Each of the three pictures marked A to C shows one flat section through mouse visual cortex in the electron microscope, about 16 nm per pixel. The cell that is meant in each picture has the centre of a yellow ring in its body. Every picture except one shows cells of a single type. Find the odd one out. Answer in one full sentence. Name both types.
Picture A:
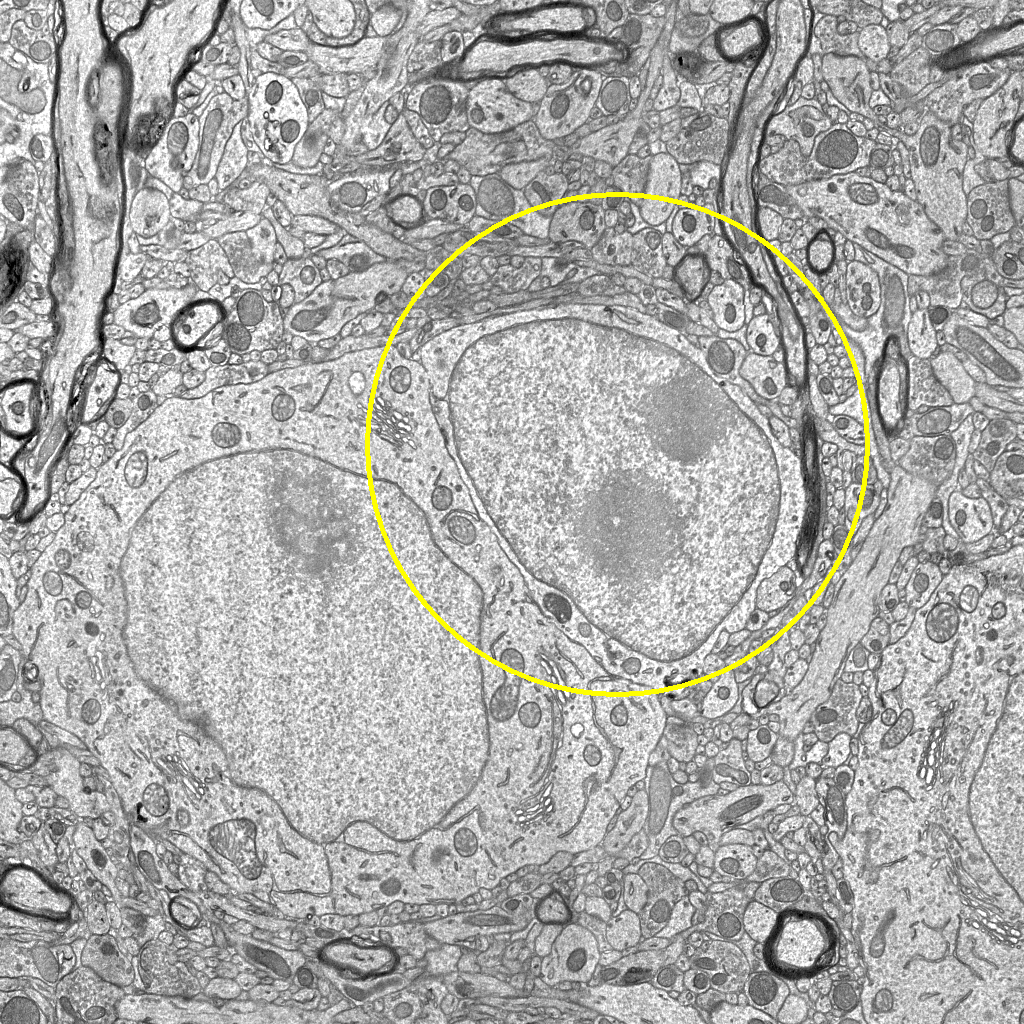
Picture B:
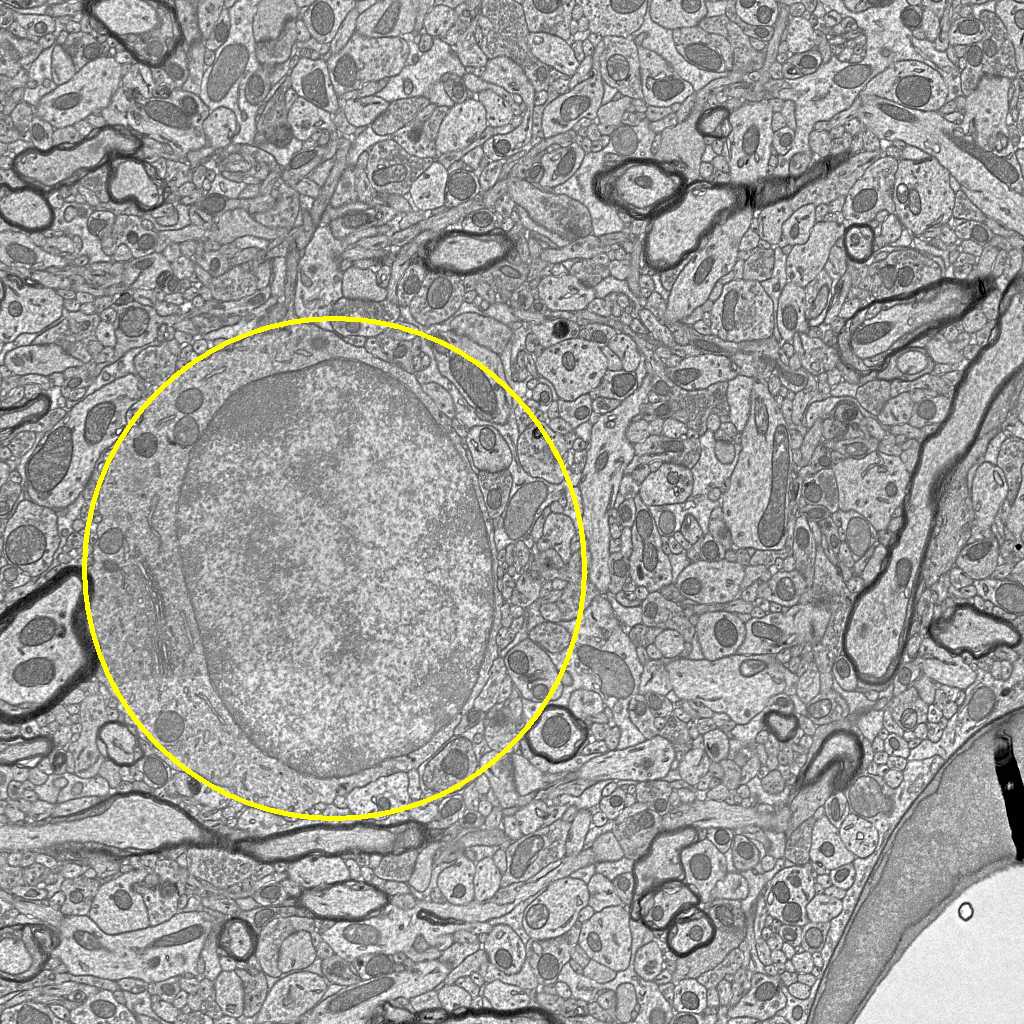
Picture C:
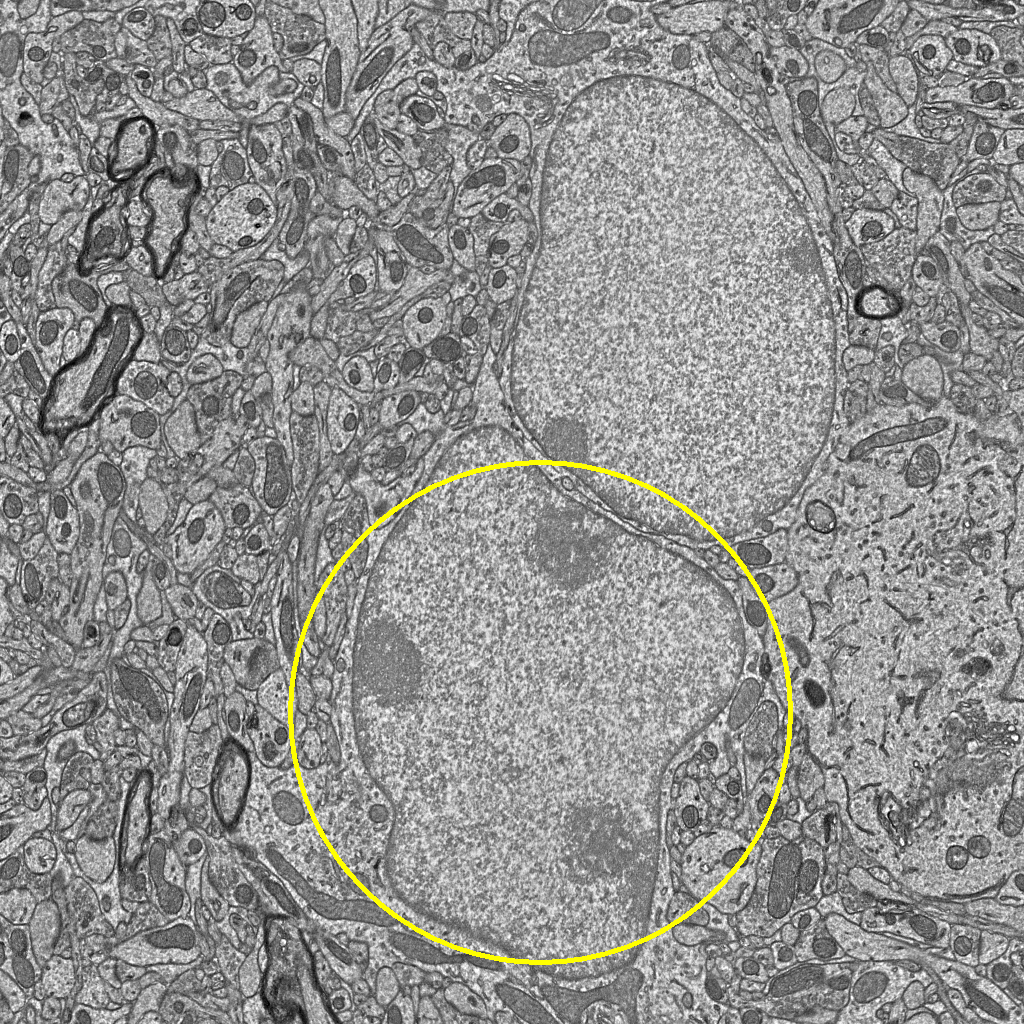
Picture C differs, because its cell is an astrocyte and the rest are oligodendrocytes.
